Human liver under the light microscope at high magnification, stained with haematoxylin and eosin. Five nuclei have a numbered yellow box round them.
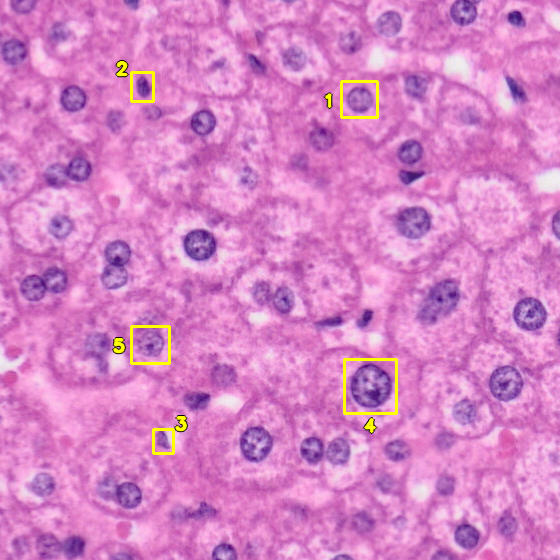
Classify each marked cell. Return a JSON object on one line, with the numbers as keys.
{"1": "hepatocyte", "2": "lymphocyte", "3": "endothelial cell", "4": "hepatocyte", "5": "hepatocyte"}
